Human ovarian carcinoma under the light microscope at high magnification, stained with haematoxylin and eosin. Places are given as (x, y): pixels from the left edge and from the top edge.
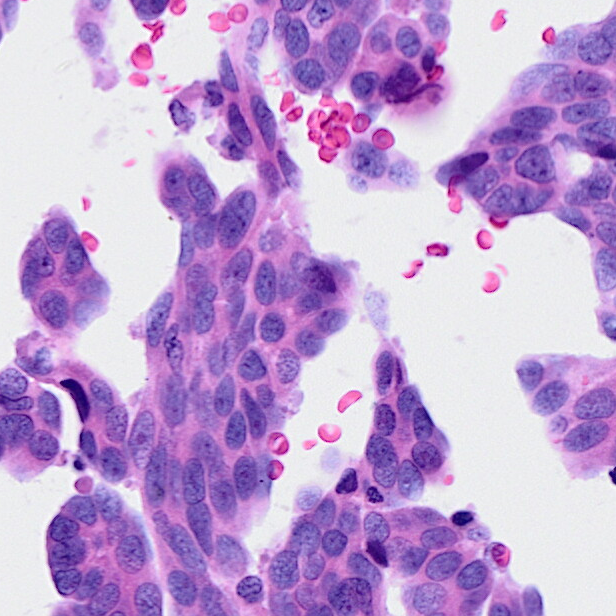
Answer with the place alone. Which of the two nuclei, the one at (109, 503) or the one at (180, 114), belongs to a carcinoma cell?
(109, 503)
